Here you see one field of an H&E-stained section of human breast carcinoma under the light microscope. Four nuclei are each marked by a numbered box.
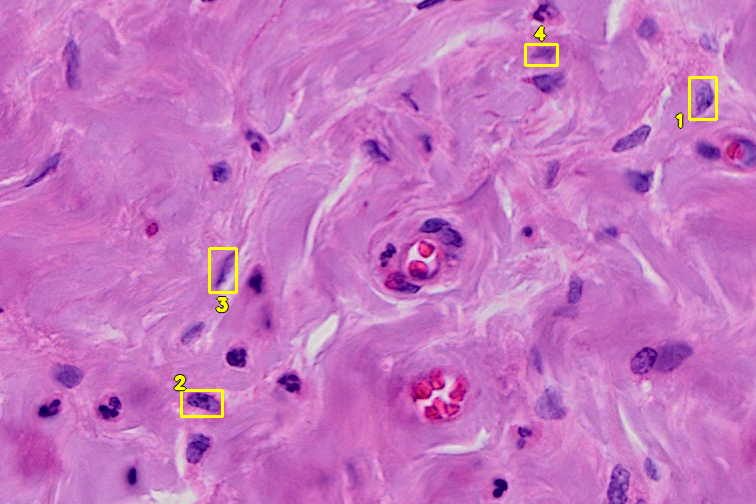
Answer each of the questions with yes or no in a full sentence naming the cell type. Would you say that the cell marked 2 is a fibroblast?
No, cell 2 is not to be taken for a fibroblast; it is a mast cell.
